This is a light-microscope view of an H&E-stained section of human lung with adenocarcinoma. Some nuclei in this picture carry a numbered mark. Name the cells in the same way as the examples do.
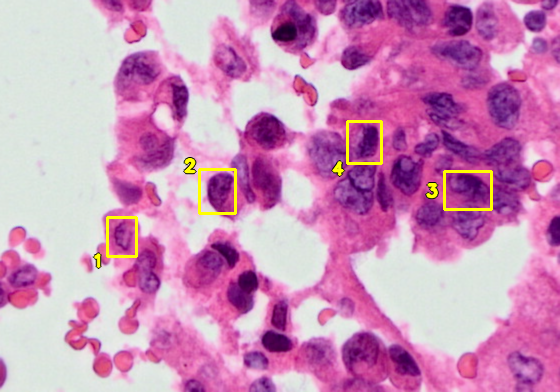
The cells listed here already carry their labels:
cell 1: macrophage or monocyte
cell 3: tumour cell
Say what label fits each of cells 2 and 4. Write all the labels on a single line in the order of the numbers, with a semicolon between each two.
tumour cell; tumour cell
